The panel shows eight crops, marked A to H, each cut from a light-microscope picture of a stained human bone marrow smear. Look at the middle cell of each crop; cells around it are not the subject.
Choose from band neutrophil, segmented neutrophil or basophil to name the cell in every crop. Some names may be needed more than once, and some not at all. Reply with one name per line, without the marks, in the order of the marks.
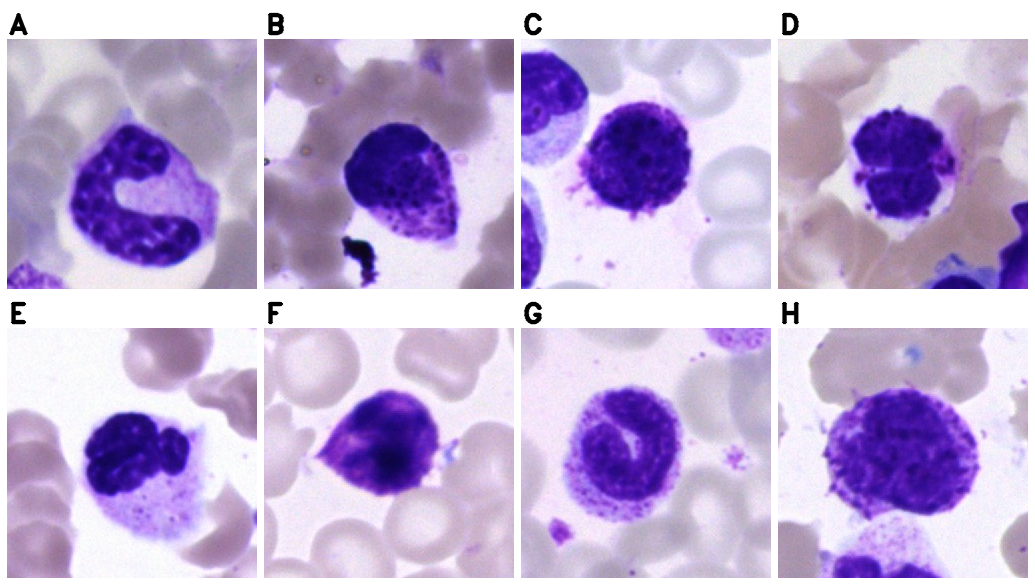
band neutrophil
basophil
basophil
basophil
segmented neutrophil
basophil
band neutrophil
basophil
